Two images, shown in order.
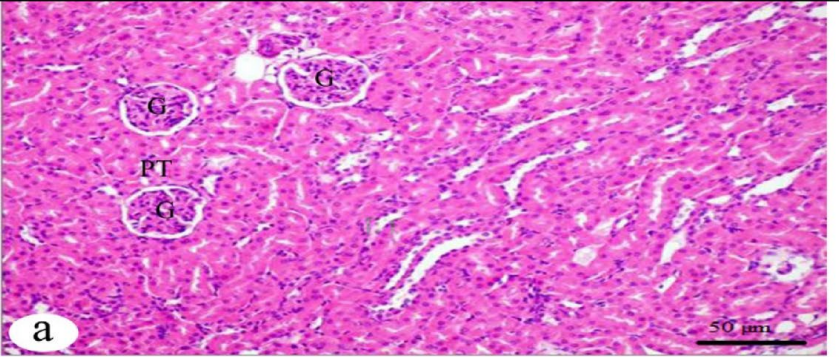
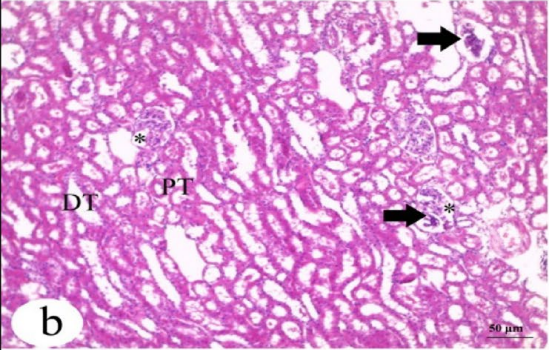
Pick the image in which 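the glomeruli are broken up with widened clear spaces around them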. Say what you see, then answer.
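Second image: glomerular tufts are small and fragmented, surrounded by wide clear spaces within their capsules. First image: glomerular tufts fill their capsules, leaving only a narrow clear rim.
The second image.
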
